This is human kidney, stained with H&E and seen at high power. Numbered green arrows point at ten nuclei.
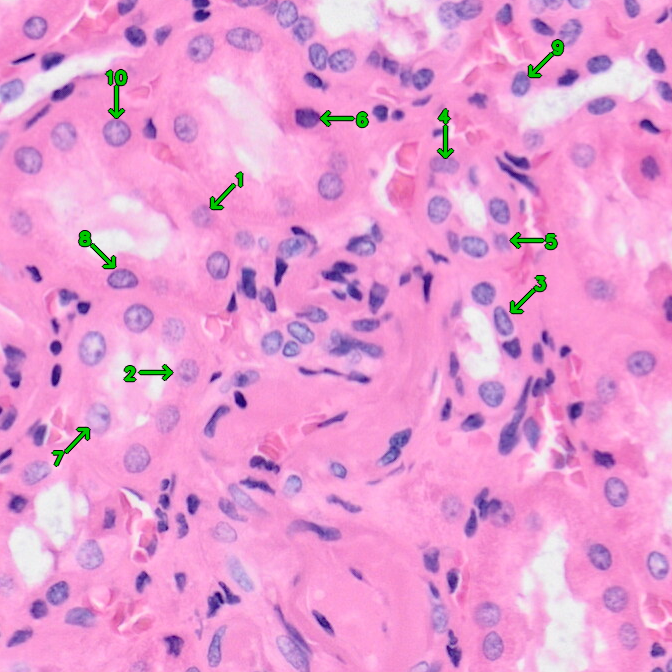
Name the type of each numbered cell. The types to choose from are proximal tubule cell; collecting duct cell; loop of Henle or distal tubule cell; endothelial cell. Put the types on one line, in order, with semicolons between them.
proximal tubule cell; proximal tubule cell; collecting duct cell; collecting duct cell; collecting duct cell; proximal tubule cell; proximal tubule cell; proximal tubule cell; loop of Henle or distal tubule cell; proximal tubule cell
